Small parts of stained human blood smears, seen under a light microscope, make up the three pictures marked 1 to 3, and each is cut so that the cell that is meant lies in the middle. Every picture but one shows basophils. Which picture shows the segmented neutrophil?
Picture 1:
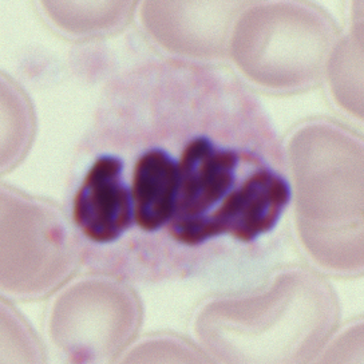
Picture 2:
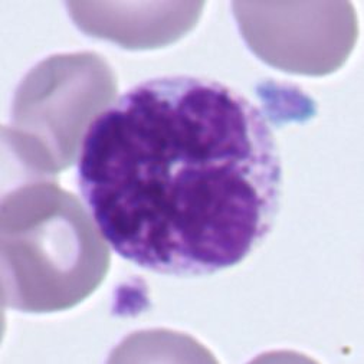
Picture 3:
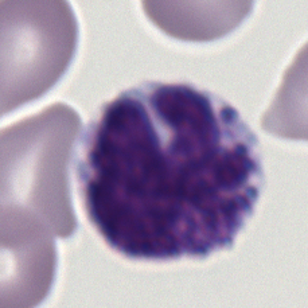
1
